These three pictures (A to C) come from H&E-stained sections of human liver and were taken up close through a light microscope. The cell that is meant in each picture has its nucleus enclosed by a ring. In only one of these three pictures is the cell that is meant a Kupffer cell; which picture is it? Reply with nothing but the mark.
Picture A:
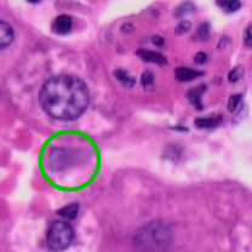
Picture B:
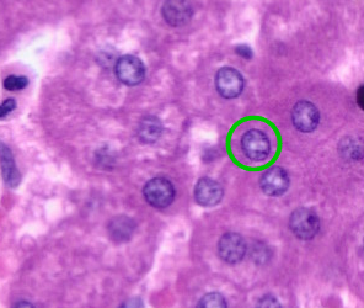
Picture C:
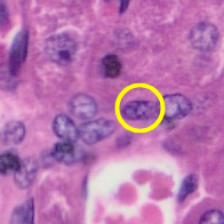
A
